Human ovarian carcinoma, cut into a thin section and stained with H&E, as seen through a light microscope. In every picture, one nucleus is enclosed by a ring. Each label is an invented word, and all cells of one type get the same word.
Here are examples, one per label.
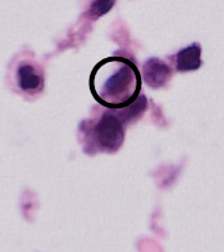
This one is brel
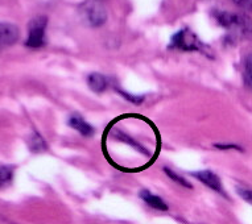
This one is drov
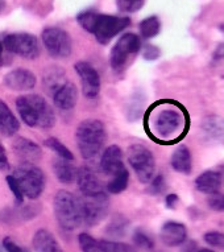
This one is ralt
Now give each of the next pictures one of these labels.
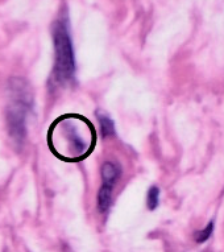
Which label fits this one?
drov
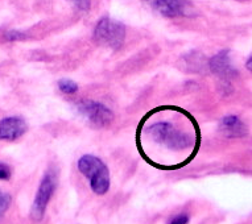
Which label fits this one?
drov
